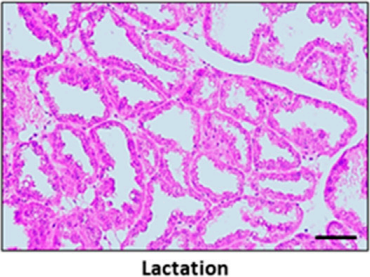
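This is glandular breast tissue made of many alveoli packed tightly together, each lined by a single layer of pink-staining secretory epithelial cells around a wide pale lumen. Only thin strands of stroma separate the neighbouring glandular spaces, and fat cells are scarce.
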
